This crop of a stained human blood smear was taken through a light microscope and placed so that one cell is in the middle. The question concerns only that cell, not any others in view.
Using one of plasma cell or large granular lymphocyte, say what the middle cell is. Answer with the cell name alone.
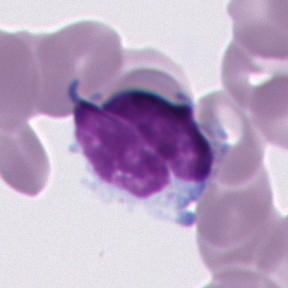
large granular lymphocyte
